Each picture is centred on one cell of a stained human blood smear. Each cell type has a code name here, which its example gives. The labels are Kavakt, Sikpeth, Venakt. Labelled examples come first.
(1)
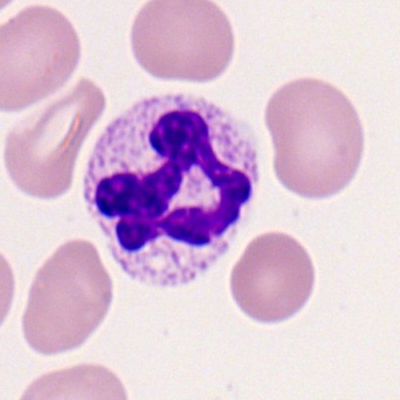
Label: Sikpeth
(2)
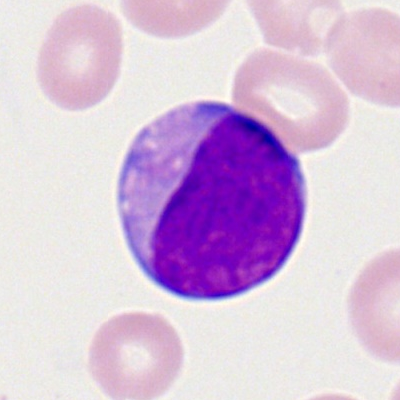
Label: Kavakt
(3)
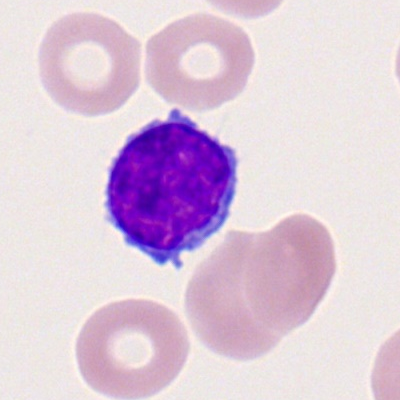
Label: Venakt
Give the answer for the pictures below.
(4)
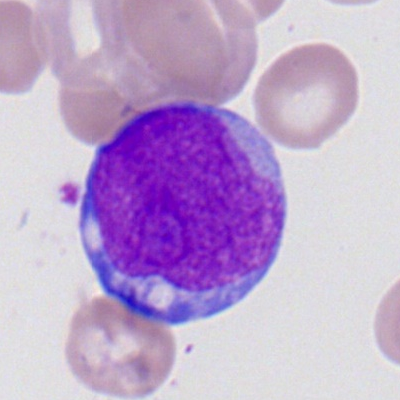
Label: Kavakt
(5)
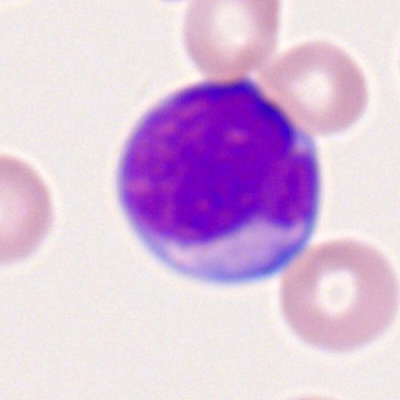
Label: Kavakt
